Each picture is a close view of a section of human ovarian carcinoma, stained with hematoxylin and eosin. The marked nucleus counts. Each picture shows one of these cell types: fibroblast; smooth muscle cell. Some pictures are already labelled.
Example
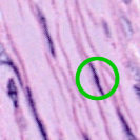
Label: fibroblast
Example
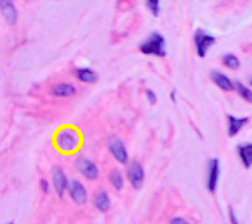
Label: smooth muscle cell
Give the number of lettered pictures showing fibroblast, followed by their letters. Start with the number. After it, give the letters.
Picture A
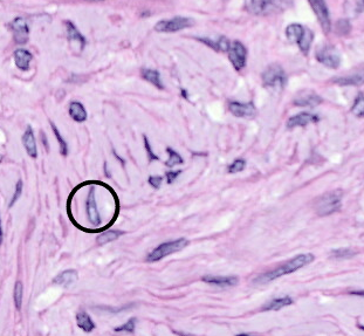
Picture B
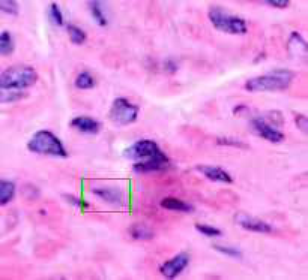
1: A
